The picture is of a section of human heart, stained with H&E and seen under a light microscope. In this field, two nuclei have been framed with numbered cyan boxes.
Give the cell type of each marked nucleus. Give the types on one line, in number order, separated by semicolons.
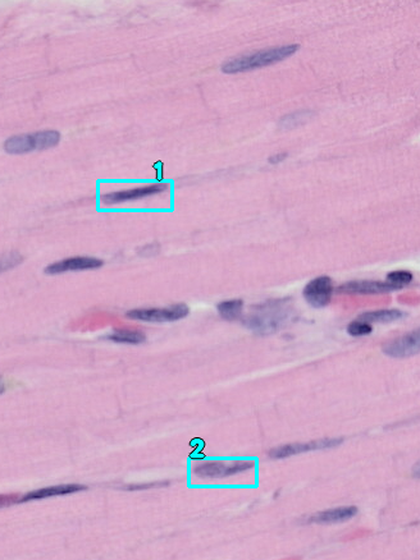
endothelial cell; fibroblast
